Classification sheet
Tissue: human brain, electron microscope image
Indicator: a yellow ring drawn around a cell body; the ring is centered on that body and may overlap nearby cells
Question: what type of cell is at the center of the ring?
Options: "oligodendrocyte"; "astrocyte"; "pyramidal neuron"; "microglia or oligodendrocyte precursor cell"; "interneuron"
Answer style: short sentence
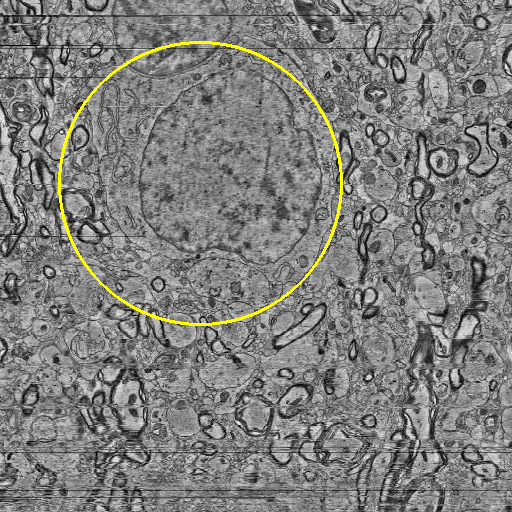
At the ring's center is an interneuron.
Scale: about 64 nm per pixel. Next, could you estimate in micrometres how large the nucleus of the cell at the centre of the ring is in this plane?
About 12 micrometres across in this plane.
